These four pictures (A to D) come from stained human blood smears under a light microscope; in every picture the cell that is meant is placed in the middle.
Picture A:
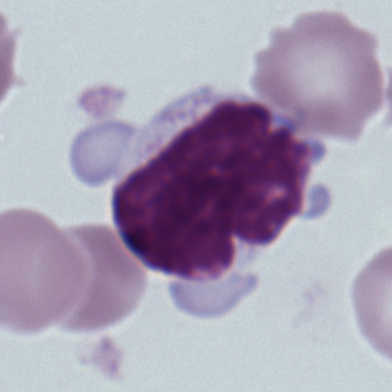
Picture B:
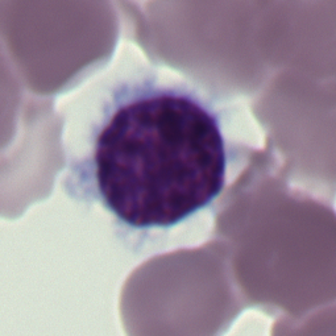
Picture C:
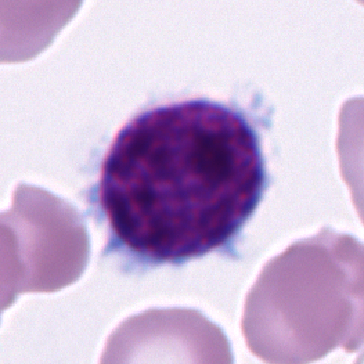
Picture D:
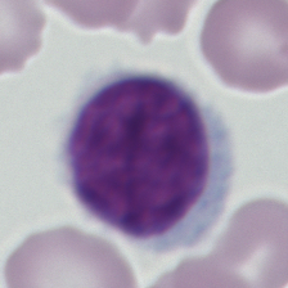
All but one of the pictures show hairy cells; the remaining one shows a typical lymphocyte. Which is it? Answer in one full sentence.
Picture A shows the typical lymphocyte.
